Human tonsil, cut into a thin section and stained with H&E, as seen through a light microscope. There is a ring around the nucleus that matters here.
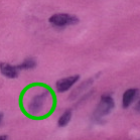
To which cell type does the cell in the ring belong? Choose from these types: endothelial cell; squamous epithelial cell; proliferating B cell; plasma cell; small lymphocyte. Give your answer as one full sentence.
As for its identity, the cell in the ring is an endothelial cell.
